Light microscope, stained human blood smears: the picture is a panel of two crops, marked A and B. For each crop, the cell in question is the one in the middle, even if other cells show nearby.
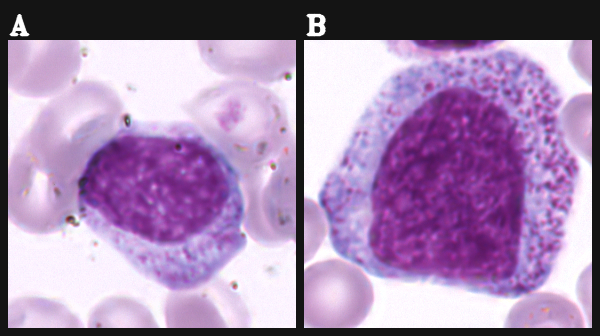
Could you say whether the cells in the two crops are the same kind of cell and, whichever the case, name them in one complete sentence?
No, crop A offers a myelocyte, while crop B offers a promyelocyte.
